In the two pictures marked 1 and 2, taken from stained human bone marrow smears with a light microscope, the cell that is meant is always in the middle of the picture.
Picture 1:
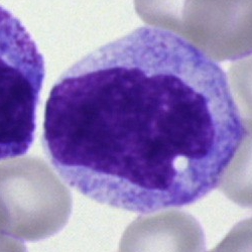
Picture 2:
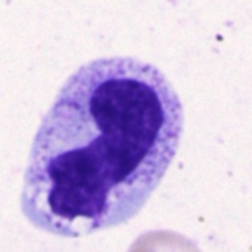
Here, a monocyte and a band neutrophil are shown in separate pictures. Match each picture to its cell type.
1: monocyte
2: band neutrophil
